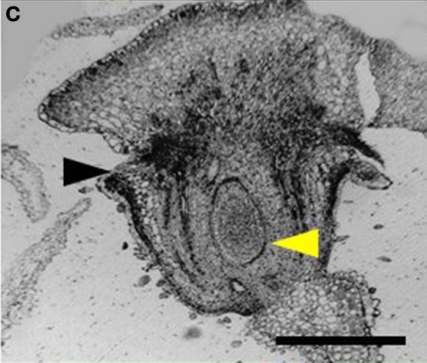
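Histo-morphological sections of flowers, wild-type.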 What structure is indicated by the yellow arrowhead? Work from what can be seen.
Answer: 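Ovule. An oval body with a dense core lies enclosed in the lower, swollen part of the section. It is surrounded by concentric layers of cells.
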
